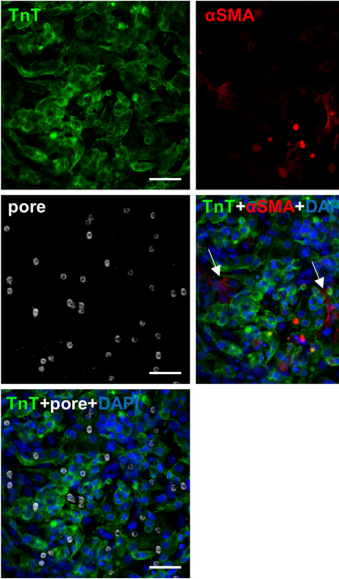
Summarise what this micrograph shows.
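These are cardiomyocytes forming a dense monolayer of closely packed, smaller cells with green-filled cytoplasm and crowded blue nuclei. Only a few scattered cells or fibres show red, and arrows point to these. Small white rings mark scattered circles across the field.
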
